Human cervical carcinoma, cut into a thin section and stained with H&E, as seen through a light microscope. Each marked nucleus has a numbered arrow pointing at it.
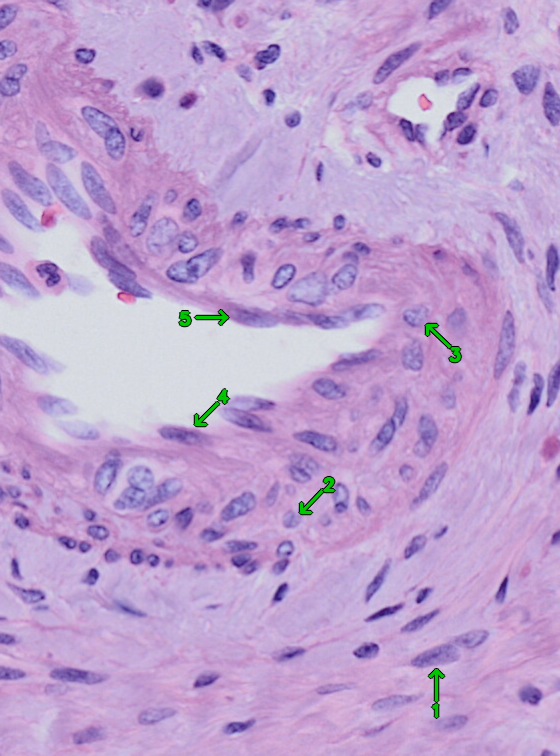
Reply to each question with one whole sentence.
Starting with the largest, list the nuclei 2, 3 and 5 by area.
From largest to smallest, the order is 5, 3, 2.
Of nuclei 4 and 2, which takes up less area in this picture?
With nucleus 4 about 2.5 times its size, nucleus 2 is the smaller of the two.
